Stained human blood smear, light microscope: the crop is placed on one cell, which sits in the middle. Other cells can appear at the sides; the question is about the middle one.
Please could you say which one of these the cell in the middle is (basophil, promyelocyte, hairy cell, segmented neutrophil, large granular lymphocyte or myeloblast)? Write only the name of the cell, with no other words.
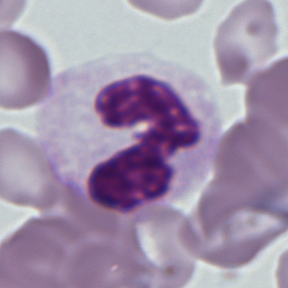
segmented neutrophil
